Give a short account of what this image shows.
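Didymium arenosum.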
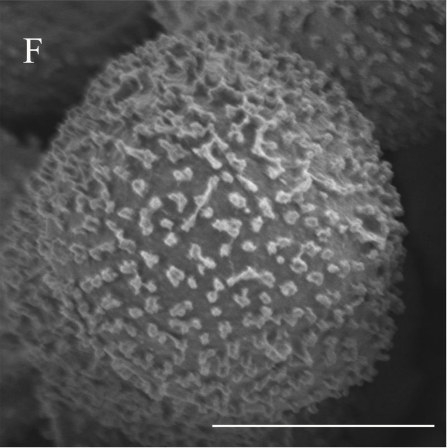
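In places neighbouring warts are fused into short irregular ridges, giving a slightly patterned look. Parts of other spores with the same ornamentation are just visible behind it.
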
